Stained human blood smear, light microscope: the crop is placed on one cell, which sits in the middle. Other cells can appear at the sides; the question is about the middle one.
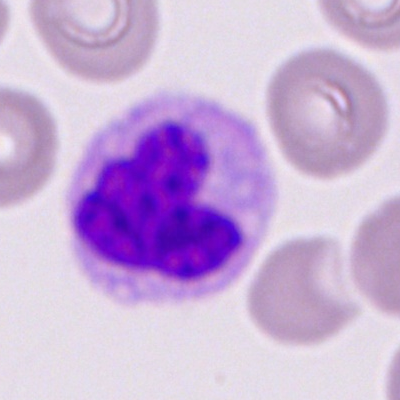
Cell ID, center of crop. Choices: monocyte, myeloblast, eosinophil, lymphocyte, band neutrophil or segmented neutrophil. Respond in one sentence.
The cell sitting right in the middle is a monocyte.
